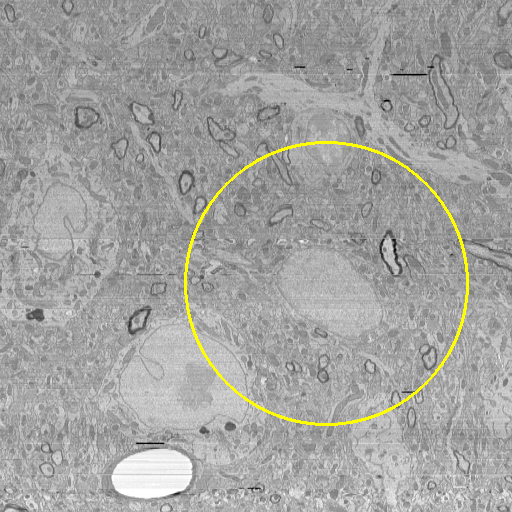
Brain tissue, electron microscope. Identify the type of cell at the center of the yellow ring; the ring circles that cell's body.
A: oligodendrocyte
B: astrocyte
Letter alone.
B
